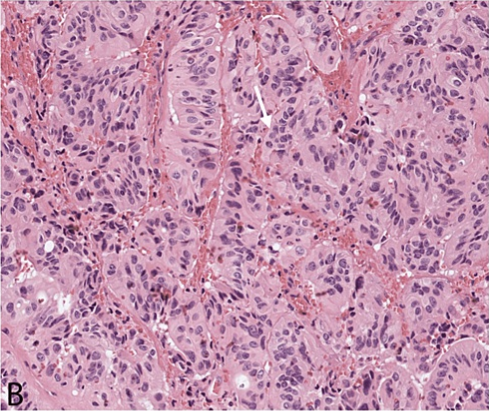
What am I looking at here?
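Here the tumor cells are crowded into nests and gland-like groups separated by thin pink strands of stroma, rather than forming open fronds. The cells have pink cytoplasm and oval to elongated nuclei that vary clearly in size and shape from cell to cell.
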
